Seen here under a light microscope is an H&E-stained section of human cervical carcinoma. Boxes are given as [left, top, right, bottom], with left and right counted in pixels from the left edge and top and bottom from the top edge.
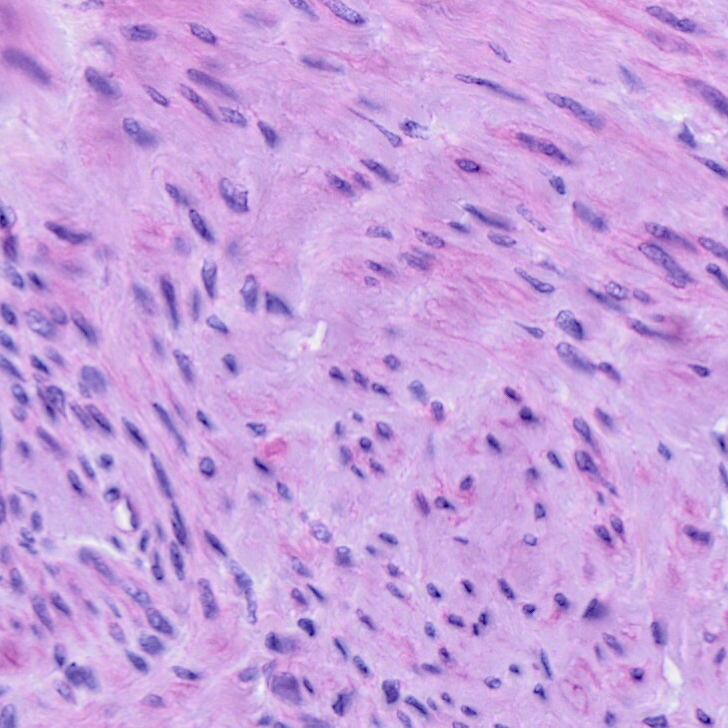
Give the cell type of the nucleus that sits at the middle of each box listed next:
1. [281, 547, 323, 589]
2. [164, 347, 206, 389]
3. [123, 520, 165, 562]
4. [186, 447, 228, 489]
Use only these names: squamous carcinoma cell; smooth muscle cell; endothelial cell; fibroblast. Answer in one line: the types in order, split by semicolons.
smooth muscle cell; smooth muscle cell; fibroblast; smooth muscle cell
